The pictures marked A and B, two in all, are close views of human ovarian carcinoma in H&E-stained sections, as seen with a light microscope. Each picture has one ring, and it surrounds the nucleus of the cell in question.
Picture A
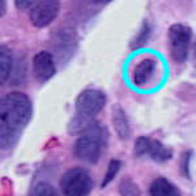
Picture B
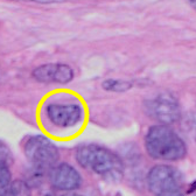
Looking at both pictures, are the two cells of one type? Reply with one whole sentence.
Yes, they are the same type: both are “macrophages or monocytes”.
